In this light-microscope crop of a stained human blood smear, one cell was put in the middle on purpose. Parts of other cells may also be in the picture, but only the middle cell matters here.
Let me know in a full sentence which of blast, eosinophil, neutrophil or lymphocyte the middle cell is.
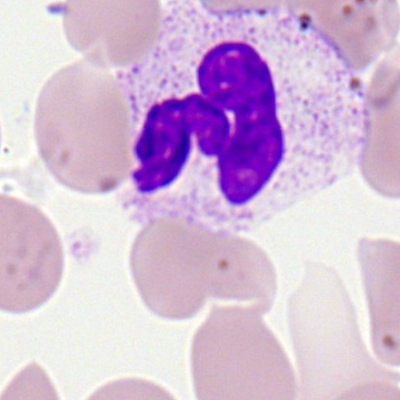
In the central position of this crop, the cell is a neutrophil.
